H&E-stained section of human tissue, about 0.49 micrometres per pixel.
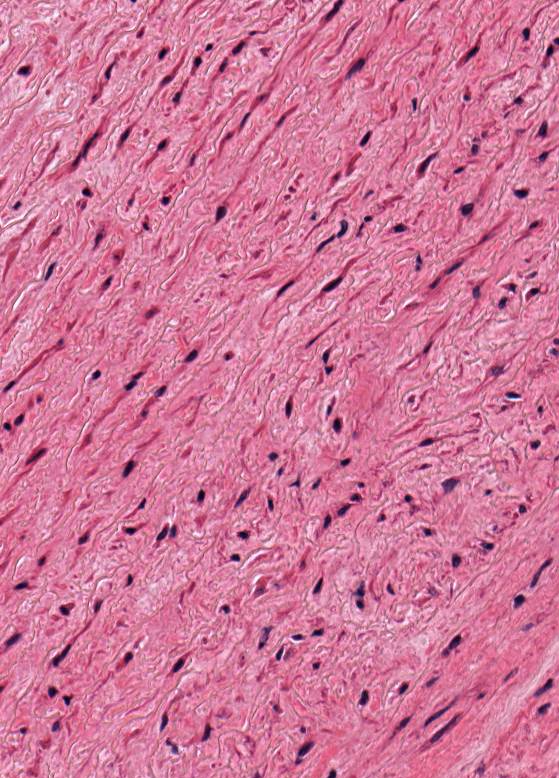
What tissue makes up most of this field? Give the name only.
tunica media of an artery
